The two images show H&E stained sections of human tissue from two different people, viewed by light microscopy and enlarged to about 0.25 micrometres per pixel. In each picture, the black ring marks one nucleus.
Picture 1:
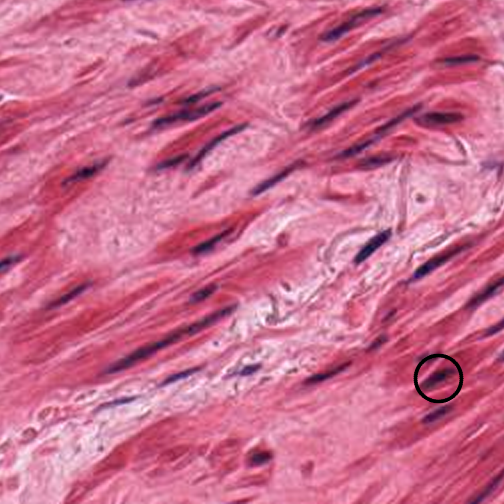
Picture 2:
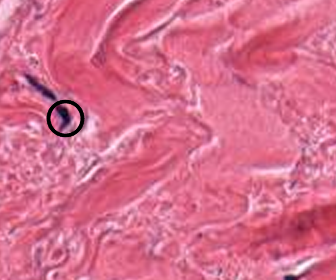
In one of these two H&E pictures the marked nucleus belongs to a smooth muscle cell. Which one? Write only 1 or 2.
1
